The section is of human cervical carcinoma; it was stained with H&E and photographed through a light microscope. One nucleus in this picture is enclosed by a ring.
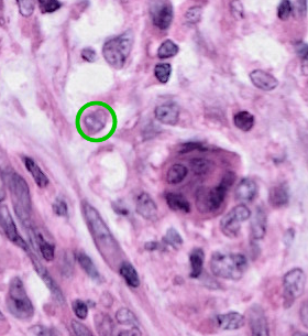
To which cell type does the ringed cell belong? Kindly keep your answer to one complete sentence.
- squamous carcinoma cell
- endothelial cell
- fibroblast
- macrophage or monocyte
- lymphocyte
Placed in its cell category, the ringed cell is a macrophage or monocyte.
